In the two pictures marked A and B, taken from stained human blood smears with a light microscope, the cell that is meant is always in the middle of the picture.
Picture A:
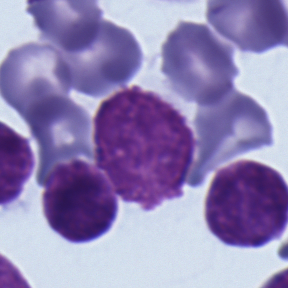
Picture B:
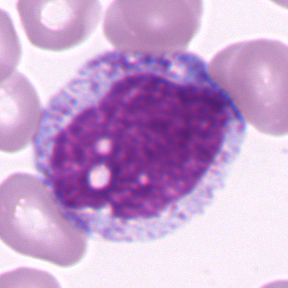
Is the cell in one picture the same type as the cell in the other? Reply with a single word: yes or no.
no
